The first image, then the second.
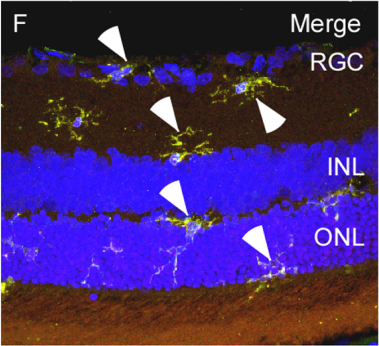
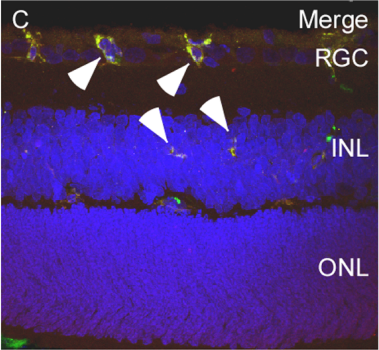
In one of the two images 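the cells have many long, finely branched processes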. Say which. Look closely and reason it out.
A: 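First image: labelled cells extend many thin branching processes in several layers. Second image: labelled cells are compact and rounded with few short processes.
The first image.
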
